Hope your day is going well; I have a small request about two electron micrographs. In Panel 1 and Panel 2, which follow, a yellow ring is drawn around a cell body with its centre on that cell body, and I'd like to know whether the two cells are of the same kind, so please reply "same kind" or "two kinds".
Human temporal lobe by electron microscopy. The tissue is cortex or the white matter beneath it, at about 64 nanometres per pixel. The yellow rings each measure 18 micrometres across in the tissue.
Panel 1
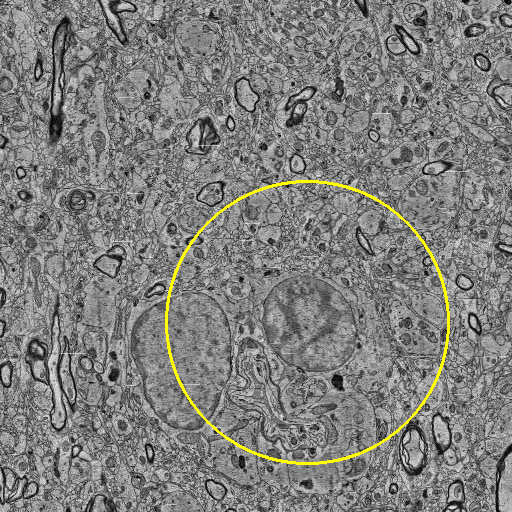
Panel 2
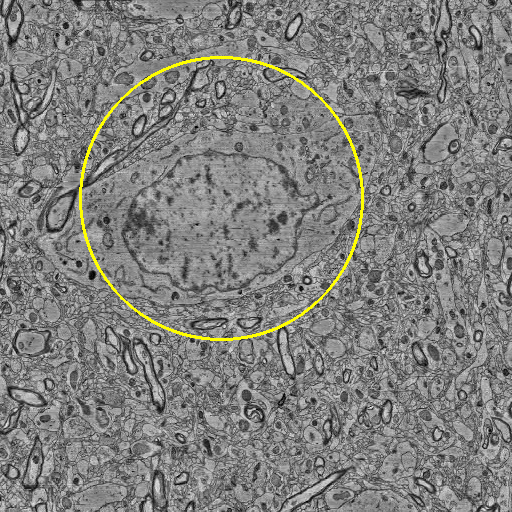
two kinds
